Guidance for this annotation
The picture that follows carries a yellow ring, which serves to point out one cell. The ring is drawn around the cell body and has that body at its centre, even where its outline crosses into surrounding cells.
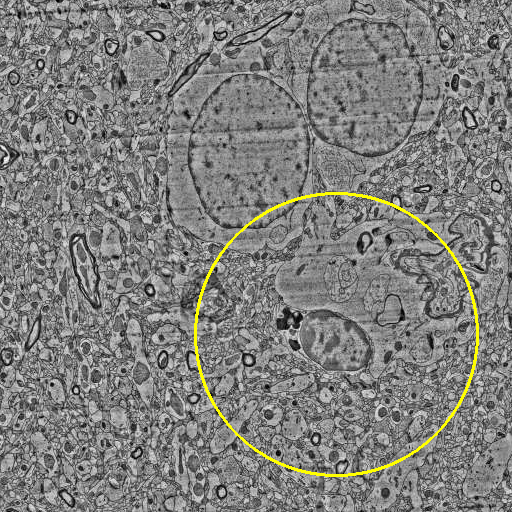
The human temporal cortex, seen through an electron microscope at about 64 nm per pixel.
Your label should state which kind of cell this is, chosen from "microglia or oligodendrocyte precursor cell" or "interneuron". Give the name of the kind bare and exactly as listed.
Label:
microglia or oligodendrocyte precursor cell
